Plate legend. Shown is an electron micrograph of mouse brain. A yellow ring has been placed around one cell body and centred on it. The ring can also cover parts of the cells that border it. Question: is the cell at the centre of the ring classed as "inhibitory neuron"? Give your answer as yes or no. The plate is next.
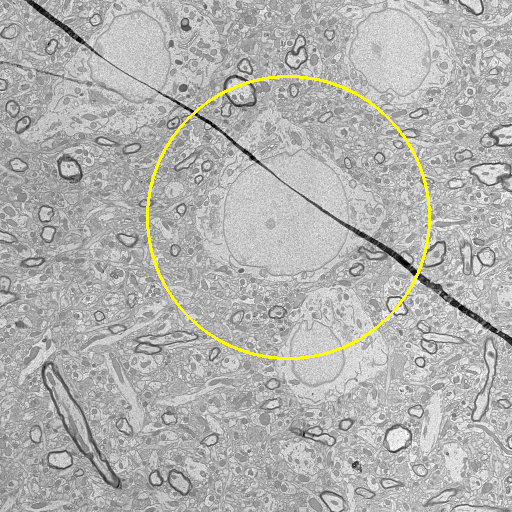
No, the ringed cell is of another kind.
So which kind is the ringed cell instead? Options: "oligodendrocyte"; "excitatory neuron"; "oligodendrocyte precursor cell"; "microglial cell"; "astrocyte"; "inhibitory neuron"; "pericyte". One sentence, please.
The ringed cell in this picture is, instead, an excitatory neuron.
